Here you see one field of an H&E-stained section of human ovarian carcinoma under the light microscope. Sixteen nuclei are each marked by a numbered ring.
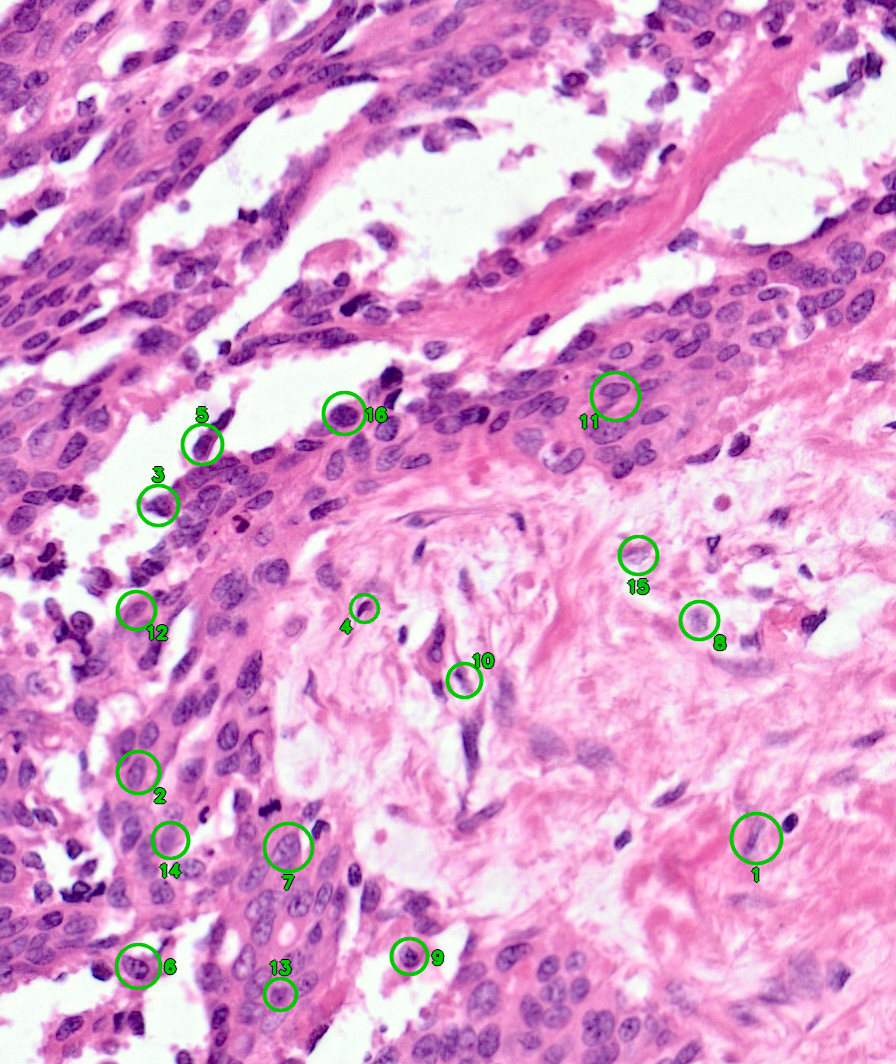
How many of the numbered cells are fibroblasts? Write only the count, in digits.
5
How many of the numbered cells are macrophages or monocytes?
2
